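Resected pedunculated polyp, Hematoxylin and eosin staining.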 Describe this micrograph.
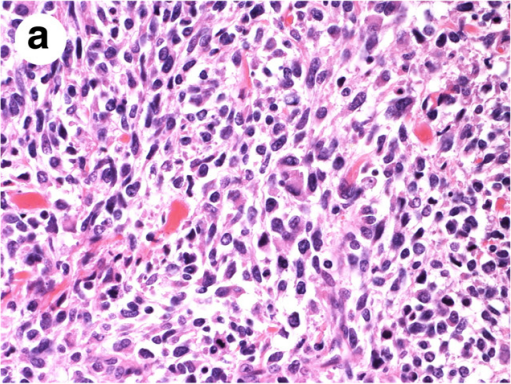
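This is a sarcomatous tumour made of densely packed spindle-shaped and irregular cells arranged loosely in short fascicles. The nuclei show severe pleomorphism, varying widely in size and shape, and many are large, elongated and hyperchromatic. The cells have pink, ill-defined cytoplasm, and a few cells with elongated eosinophilic cytoplasm are scattered among them. Small vessels containing red blood cells run between the tumour cells.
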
